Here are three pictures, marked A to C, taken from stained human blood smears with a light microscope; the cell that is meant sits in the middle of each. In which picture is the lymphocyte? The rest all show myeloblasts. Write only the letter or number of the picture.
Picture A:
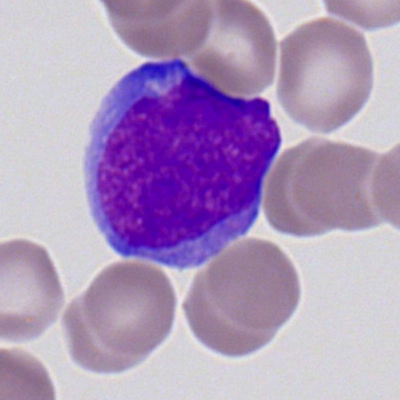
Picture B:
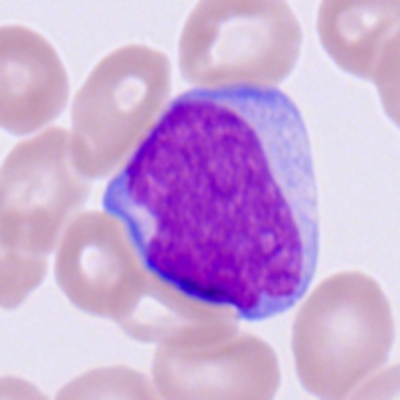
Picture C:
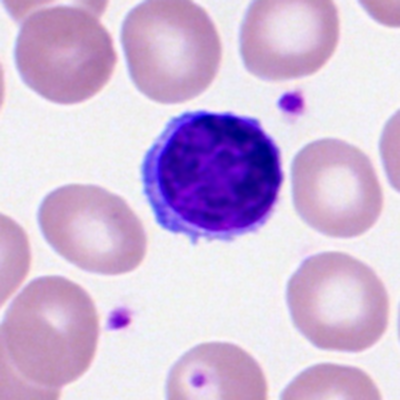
C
